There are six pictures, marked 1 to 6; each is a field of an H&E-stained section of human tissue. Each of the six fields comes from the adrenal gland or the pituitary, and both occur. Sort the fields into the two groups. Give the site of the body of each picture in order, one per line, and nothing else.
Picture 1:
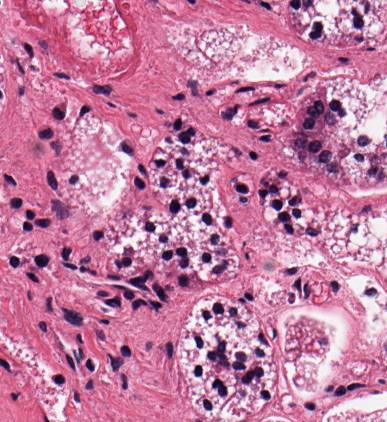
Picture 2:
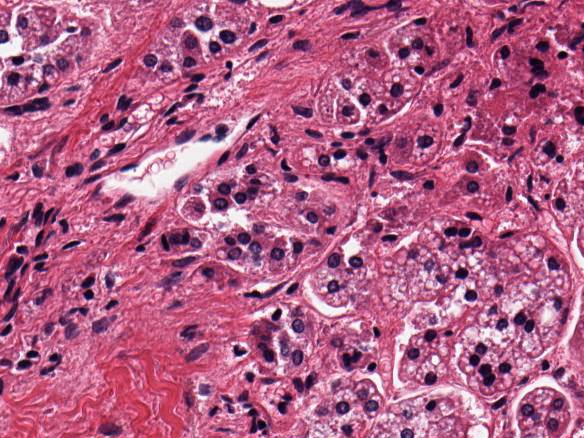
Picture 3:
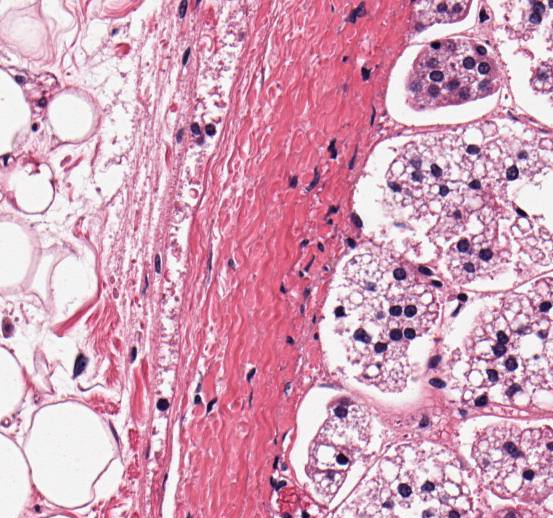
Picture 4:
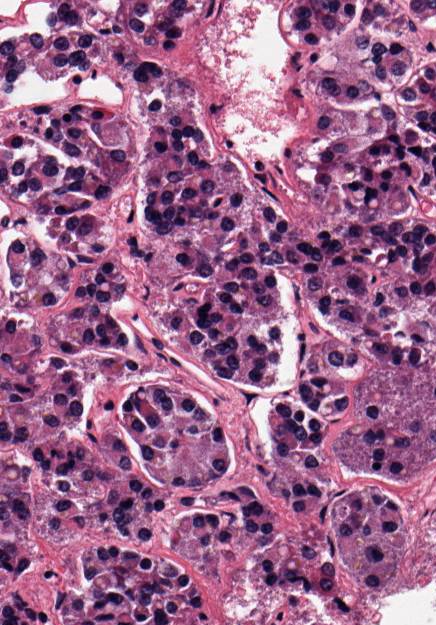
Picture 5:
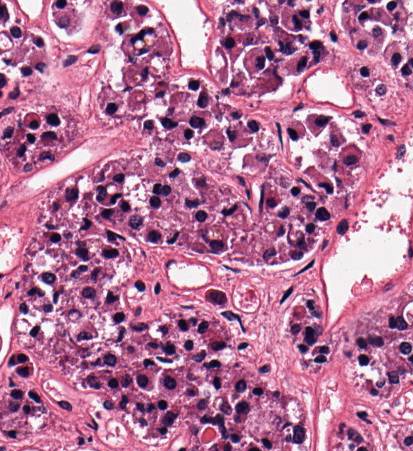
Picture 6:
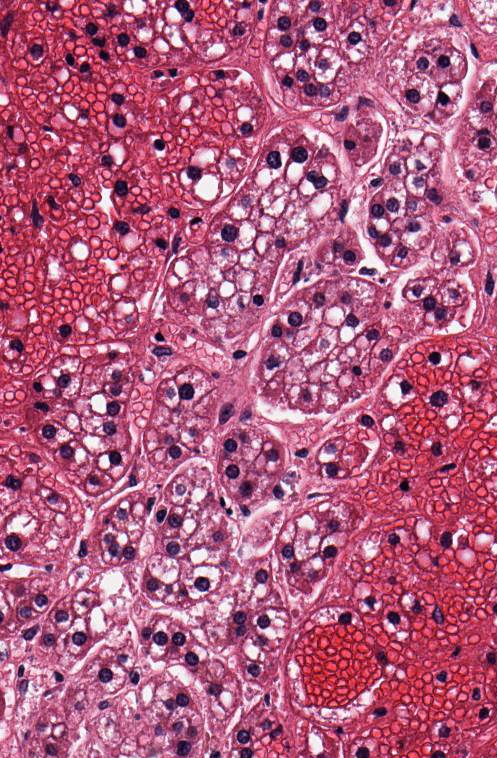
adrenal gland
adrenal gland
adrenal gland
pituitary
pituitary
adrenal gland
